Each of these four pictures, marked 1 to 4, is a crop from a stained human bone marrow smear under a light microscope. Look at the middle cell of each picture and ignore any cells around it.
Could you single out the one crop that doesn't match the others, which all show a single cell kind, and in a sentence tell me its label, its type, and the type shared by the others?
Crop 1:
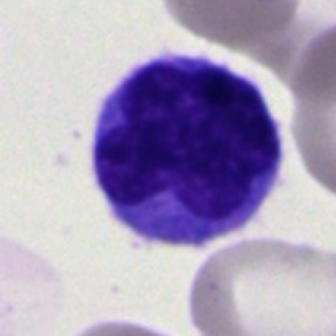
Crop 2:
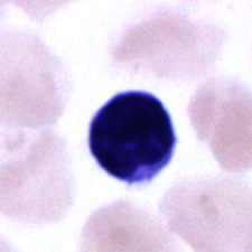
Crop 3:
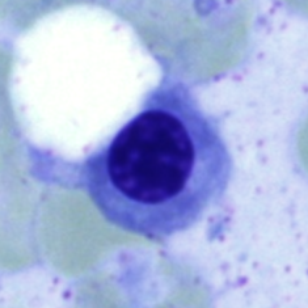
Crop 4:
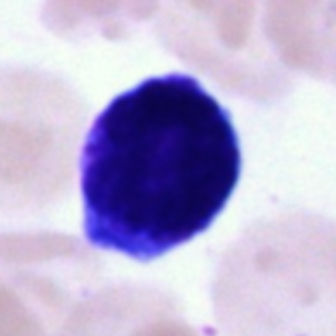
The different crop is crop 3, an erythroblast; all the others show lymphocytes.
